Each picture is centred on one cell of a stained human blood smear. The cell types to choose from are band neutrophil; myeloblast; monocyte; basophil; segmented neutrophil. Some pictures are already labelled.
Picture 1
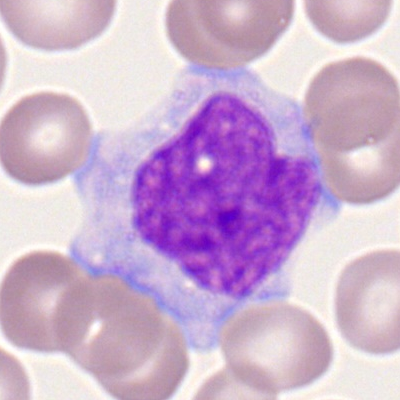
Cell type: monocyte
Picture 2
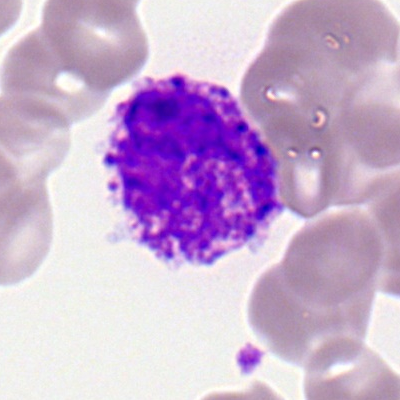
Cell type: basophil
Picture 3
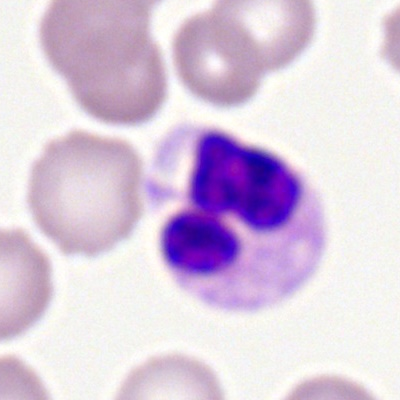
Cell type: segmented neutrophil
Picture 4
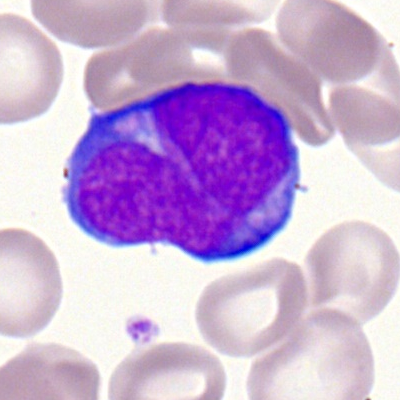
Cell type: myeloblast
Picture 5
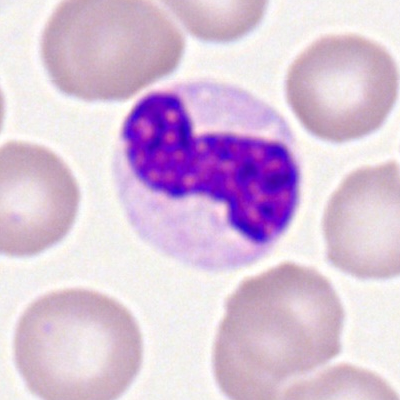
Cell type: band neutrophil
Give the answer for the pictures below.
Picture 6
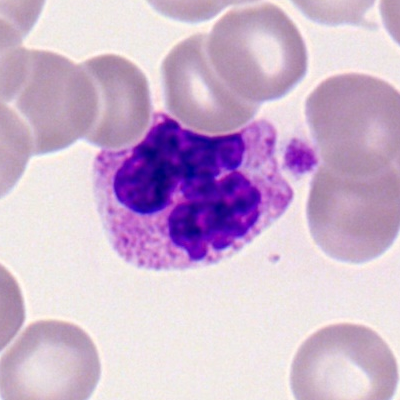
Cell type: basophil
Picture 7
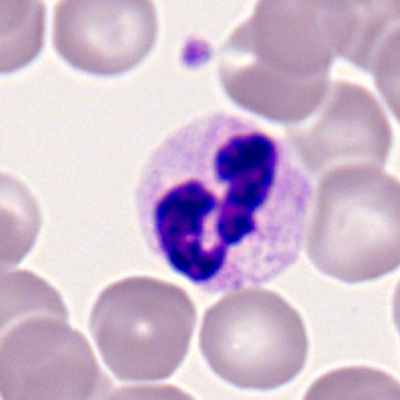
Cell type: segmented neutrophil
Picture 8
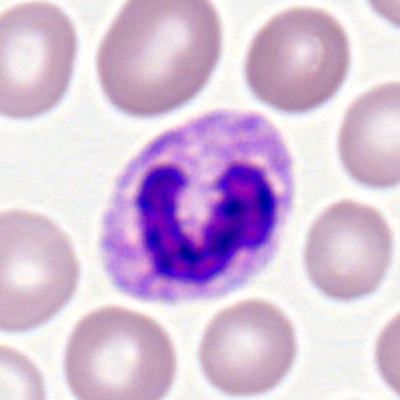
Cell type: band neutrophil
